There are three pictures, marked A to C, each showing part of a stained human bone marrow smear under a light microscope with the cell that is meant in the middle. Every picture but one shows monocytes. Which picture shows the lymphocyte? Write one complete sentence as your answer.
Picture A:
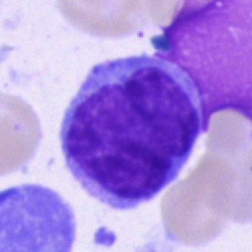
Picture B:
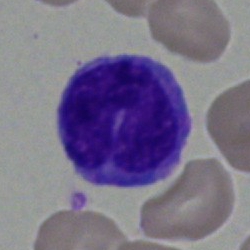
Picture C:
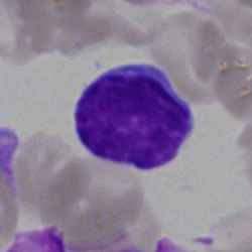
Picture C shows the lymphocyte.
